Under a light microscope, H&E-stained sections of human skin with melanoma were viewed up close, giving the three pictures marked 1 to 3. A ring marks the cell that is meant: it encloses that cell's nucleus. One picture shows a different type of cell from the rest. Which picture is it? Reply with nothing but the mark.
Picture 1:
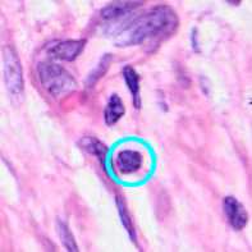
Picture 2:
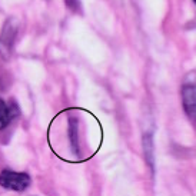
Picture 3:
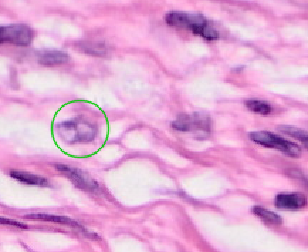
1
